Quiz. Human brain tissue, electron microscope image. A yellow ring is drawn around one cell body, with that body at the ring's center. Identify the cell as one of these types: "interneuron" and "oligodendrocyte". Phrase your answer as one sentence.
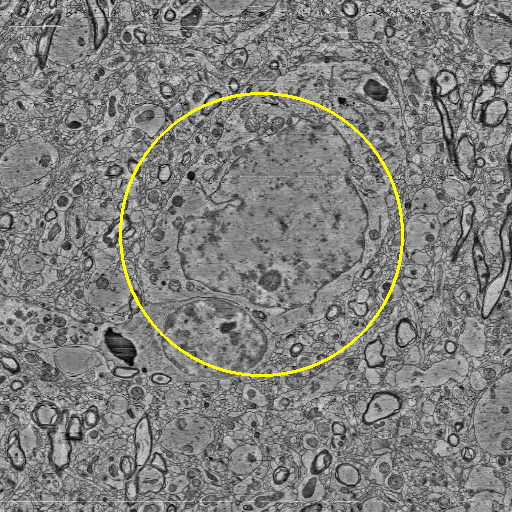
At the center of the ring sits an interneuron.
